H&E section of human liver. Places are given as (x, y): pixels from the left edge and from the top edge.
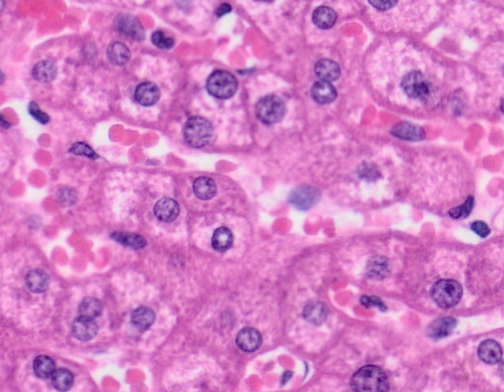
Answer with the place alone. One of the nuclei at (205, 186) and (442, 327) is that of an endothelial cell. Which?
(442, 327)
